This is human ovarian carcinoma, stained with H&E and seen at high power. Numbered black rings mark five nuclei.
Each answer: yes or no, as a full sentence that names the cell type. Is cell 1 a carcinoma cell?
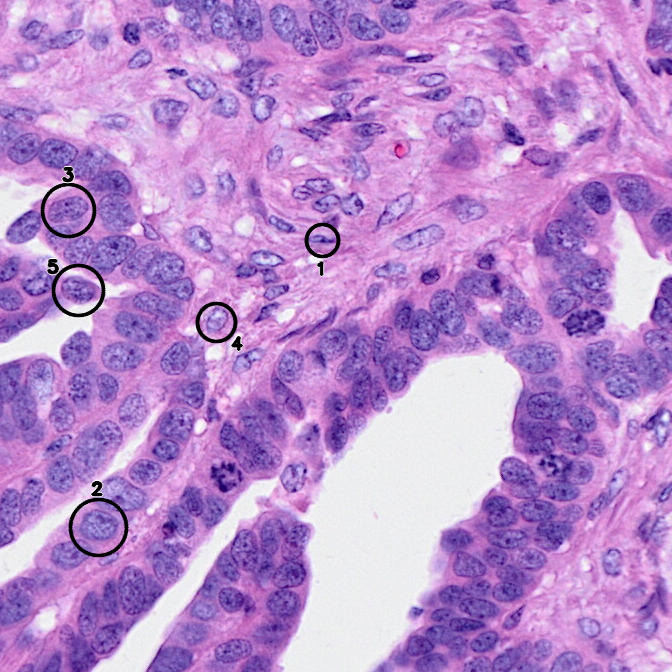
No, cell 1 is not a carcinoma cell; it is a fibroblast.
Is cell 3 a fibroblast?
No, cell 3 does not count as a fibroblast; it is a carcinoma cell.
